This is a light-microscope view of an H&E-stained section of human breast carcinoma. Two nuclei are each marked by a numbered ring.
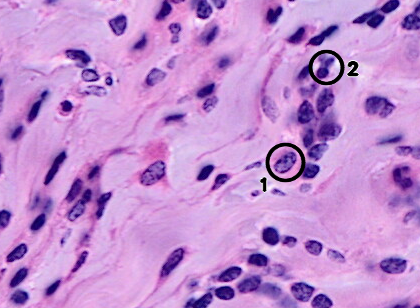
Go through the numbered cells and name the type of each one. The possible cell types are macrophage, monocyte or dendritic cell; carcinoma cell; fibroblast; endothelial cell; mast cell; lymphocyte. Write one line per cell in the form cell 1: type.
cell 1: mast cell
cell 2: lymphocyte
